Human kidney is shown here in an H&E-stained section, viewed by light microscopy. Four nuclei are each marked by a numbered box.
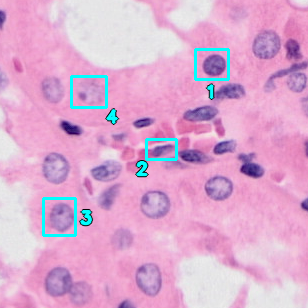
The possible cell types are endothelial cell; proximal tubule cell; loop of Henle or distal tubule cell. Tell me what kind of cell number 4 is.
proximal tubule cell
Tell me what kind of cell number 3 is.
proximal tubule cell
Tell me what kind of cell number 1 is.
proximal tubule cell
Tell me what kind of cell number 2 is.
endothelial cell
